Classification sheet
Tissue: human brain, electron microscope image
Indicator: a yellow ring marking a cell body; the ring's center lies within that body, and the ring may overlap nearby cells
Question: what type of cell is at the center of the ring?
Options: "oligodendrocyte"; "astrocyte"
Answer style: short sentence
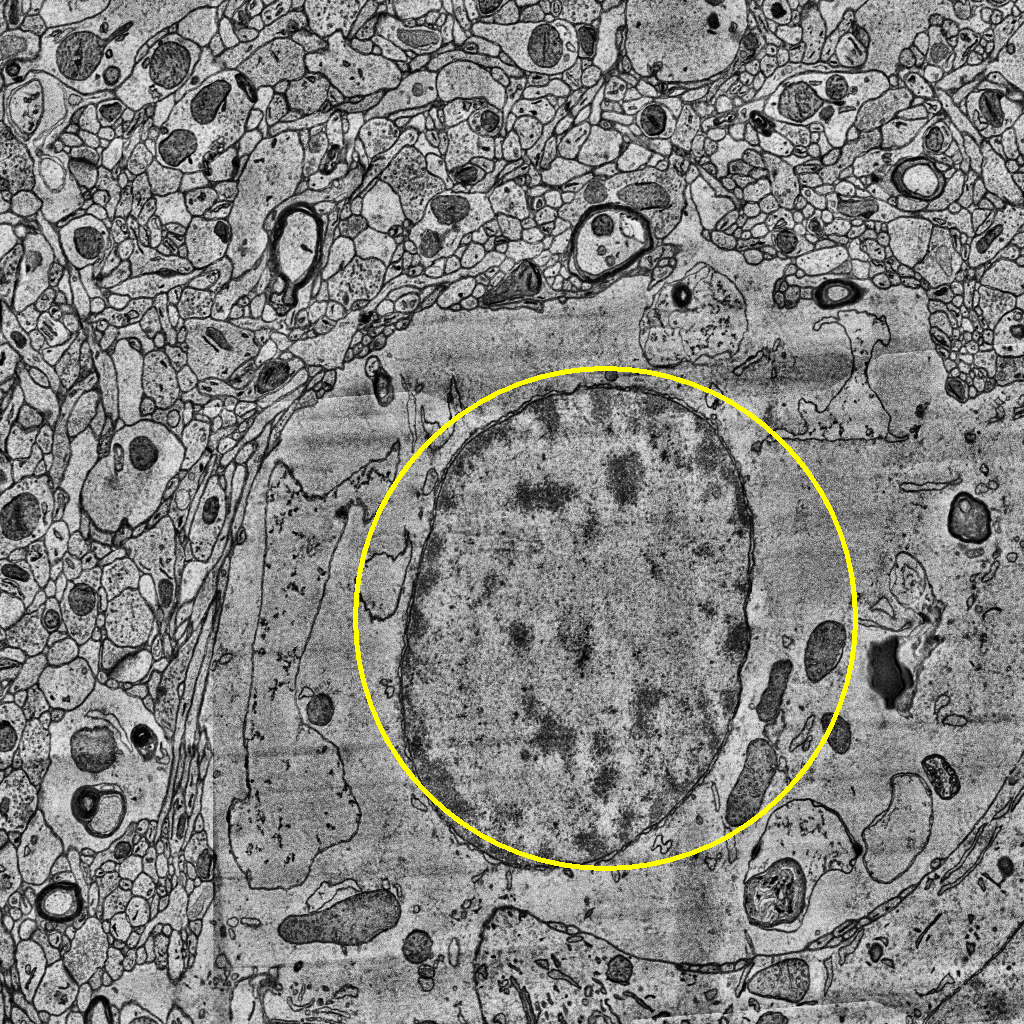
At the ring's center is an astrocyte.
